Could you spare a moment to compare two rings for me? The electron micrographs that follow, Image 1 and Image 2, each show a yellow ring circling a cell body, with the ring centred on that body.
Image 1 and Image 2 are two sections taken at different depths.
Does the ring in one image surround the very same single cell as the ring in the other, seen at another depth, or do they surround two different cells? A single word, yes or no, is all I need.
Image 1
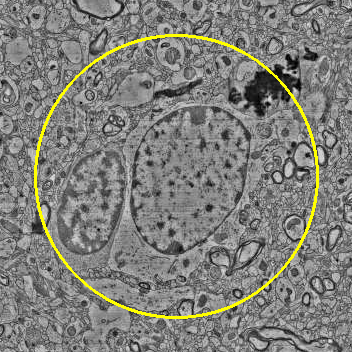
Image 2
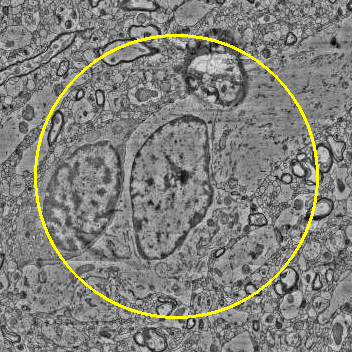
yes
